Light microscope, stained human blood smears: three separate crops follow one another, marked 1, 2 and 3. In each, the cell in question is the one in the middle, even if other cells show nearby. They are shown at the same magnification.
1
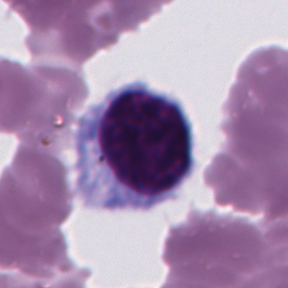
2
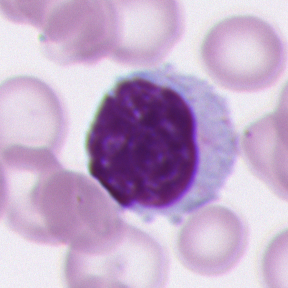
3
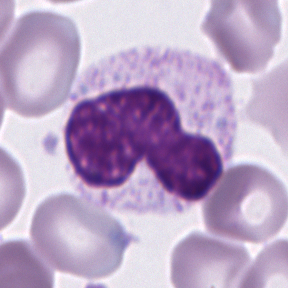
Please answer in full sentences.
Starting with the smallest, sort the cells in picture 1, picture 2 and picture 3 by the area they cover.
Smallest first: 1, 2, 3.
